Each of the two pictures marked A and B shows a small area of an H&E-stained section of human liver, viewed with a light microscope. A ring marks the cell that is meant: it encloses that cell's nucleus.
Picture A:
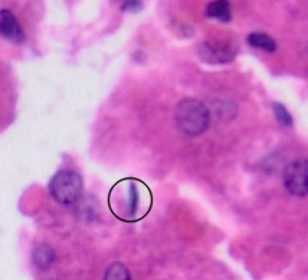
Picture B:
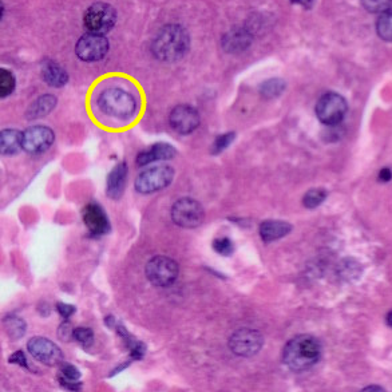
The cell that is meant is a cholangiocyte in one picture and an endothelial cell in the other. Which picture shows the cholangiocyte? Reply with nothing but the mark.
B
